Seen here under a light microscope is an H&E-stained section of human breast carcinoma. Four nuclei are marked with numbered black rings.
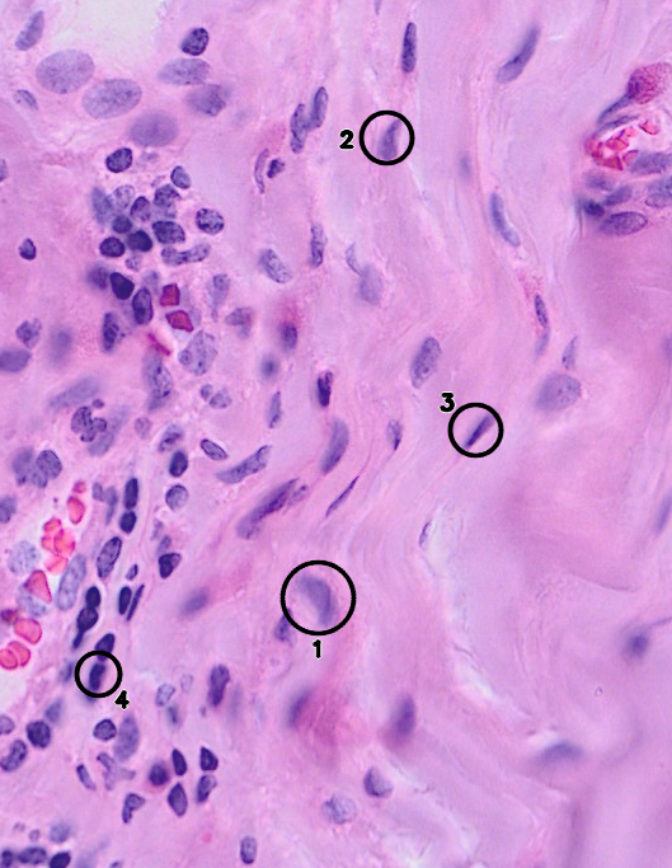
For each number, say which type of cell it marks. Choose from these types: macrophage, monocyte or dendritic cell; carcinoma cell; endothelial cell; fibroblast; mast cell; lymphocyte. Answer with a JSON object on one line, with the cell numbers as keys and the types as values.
{"1": "fibroblast", "2": "fibroblast", "3": "fibroblast", "4": "lymphocyte"}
